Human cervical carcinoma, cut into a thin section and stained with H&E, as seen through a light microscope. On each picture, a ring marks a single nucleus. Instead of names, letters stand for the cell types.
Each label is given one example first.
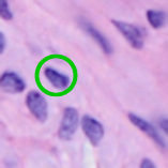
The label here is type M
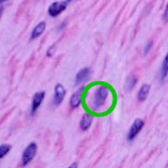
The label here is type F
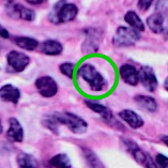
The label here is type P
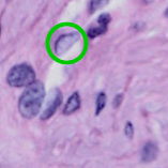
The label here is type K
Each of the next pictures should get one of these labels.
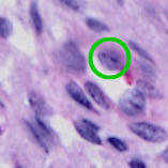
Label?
type K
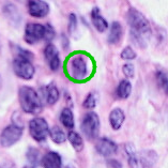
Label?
type P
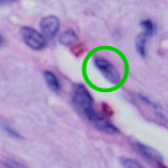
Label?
type K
